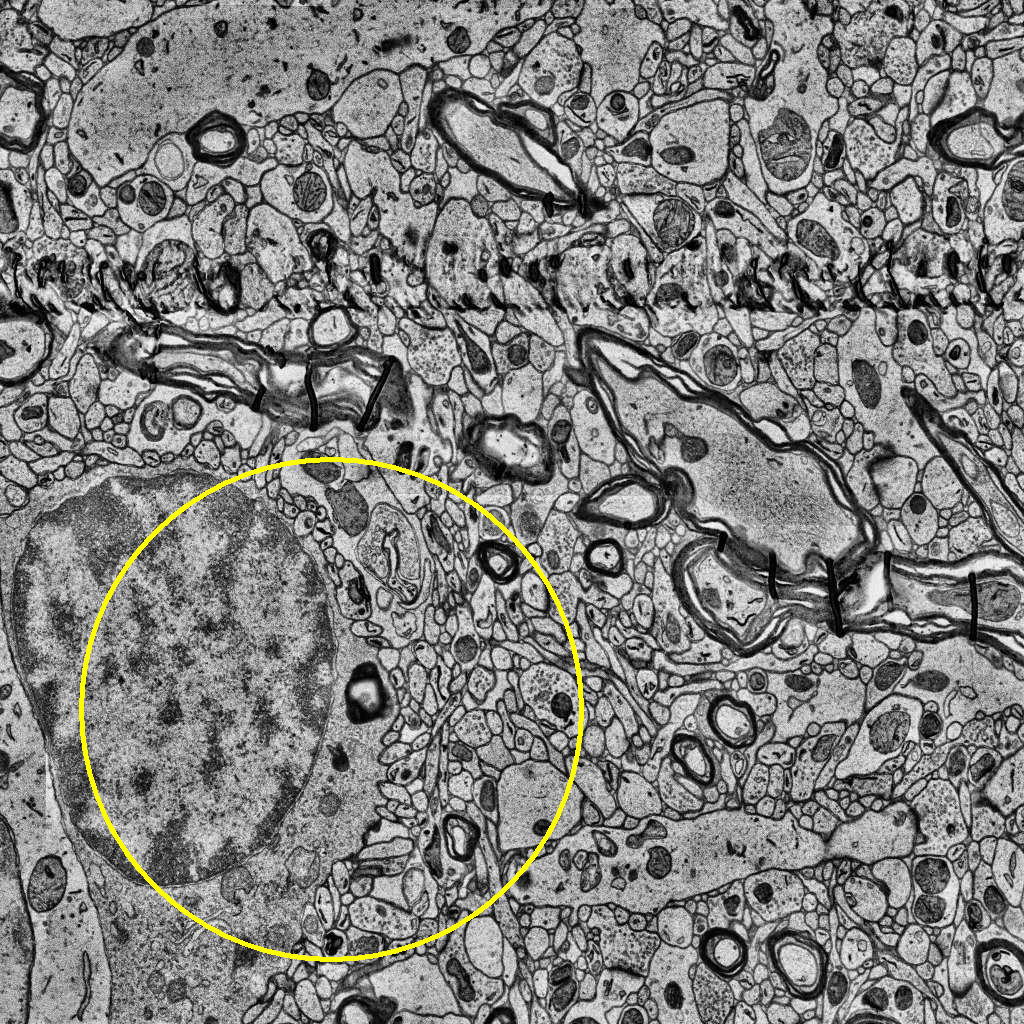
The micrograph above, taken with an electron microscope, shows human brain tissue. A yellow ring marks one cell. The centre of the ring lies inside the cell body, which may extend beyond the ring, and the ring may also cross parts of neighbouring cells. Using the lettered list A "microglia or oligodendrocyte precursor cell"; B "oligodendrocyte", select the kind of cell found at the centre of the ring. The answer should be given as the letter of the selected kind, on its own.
B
